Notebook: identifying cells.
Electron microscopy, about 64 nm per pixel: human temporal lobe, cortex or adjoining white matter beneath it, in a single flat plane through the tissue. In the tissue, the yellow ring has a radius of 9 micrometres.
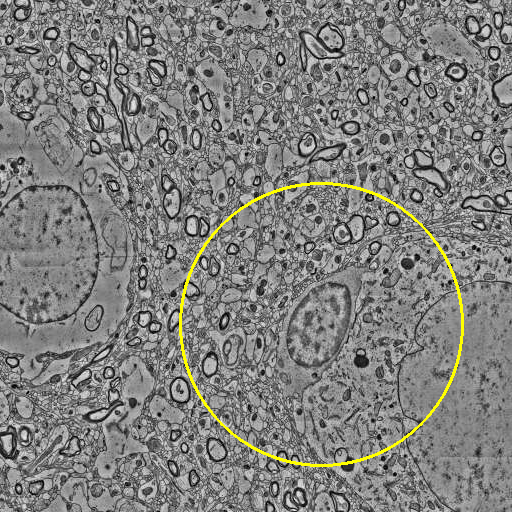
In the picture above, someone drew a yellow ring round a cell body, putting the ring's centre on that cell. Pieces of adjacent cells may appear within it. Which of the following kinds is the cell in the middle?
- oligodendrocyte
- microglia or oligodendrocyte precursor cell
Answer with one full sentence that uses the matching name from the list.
In this picture, the yellow ring is centred on the body of an oligodendrocyte.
